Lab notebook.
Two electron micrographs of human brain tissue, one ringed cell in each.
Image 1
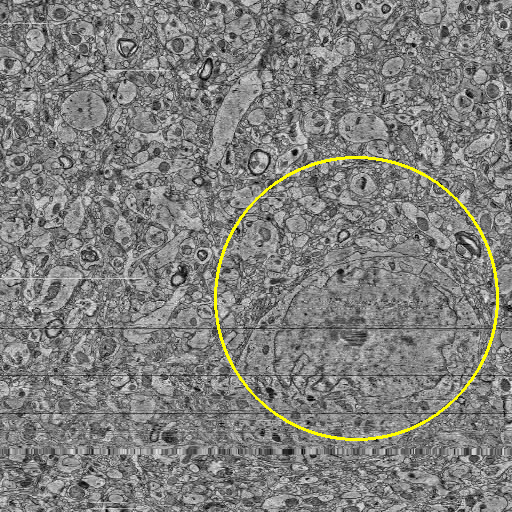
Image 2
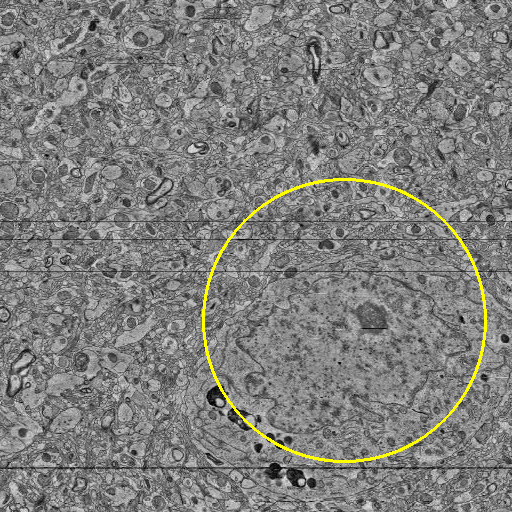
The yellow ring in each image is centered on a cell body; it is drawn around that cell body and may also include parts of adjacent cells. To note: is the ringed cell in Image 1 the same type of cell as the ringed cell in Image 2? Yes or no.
yes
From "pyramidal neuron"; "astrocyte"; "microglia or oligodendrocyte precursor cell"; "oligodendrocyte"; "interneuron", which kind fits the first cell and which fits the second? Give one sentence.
In each of the two pictures, the ringed cell is an interneuron.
